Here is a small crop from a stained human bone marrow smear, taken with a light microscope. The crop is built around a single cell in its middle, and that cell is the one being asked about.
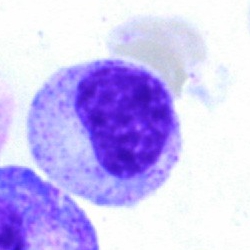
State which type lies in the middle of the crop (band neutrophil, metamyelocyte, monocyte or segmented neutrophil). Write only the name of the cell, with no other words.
metamyelocyte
